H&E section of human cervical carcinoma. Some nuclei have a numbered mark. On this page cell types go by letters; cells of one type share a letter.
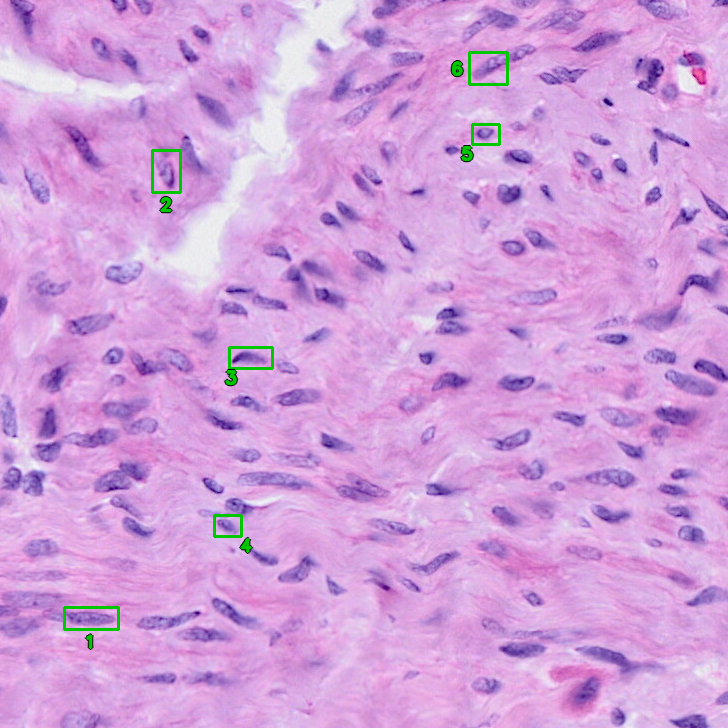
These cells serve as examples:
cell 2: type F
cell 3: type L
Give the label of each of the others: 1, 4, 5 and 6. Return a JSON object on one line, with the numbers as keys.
{"1": "type F", "4": "type L", "5": "type F", "6": "type F"}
